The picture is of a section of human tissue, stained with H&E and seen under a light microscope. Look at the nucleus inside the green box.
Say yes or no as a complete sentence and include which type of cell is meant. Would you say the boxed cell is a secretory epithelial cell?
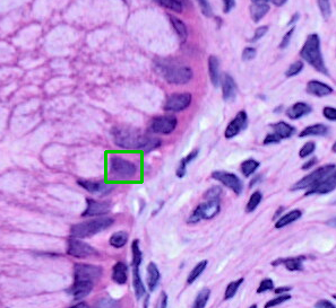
Yes, the statement that the boxed cell is a secretory epithelial cell is correct.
